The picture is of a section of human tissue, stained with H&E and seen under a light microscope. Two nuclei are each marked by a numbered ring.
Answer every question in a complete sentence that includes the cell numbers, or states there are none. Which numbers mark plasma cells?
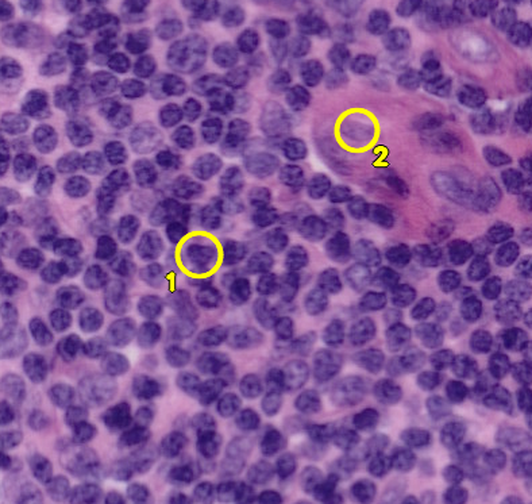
The correct answer is that none of the numbered cells are plasma cells.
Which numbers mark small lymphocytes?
Among the marked cells, cell number 1 alone is a small lymphocyte.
